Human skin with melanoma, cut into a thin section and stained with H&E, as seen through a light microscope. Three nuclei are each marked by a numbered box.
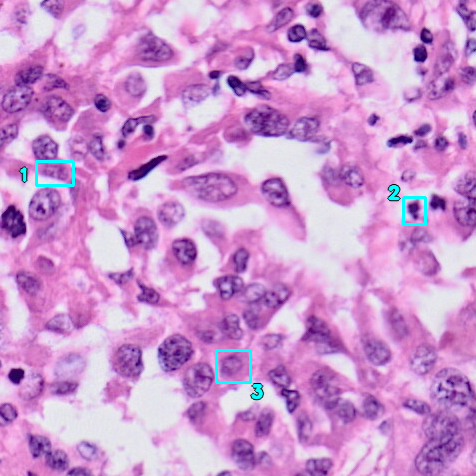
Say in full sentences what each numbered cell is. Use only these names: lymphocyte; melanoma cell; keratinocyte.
Cell 1 is a melanoma cell, cell 2 is a lymphocyte and cell 3 is a melanoma cell.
